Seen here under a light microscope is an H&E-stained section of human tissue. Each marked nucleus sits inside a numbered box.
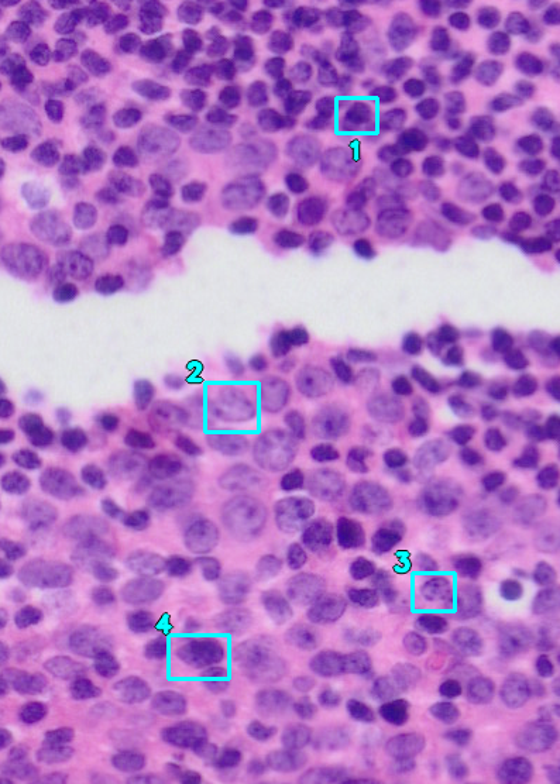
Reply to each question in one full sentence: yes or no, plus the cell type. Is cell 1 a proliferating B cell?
No, not a proliferating B cell: the cell with number 1 is a small lymphocyte.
